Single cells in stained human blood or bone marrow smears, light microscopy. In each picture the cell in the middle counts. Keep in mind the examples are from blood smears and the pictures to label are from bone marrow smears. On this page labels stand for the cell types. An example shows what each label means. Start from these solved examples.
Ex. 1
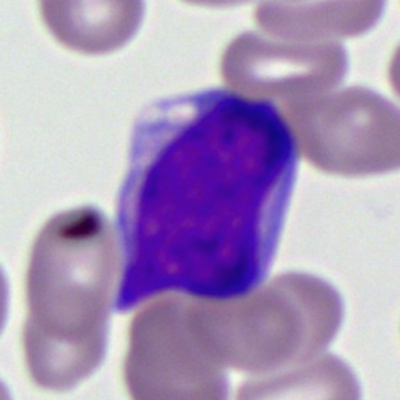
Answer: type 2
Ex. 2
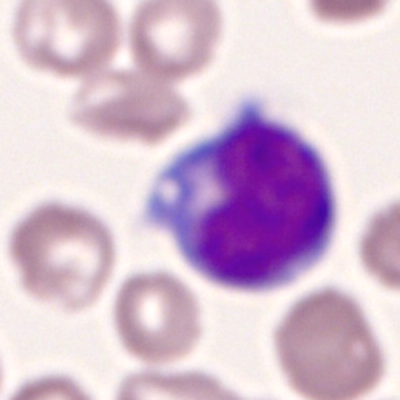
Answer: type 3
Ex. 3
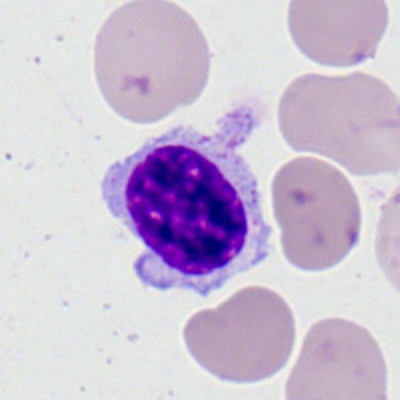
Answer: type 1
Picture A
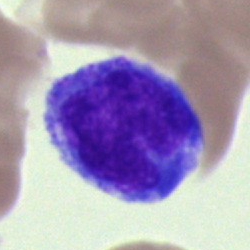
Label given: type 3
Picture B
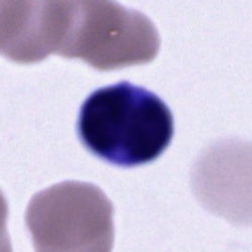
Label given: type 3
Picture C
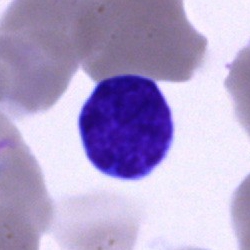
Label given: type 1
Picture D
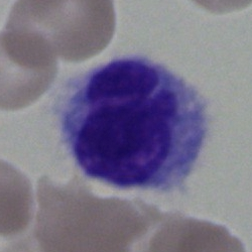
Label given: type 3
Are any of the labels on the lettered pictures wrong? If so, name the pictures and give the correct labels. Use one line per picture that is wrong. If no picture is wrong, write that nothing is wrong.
B is labelled type 3; correct label: type 1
